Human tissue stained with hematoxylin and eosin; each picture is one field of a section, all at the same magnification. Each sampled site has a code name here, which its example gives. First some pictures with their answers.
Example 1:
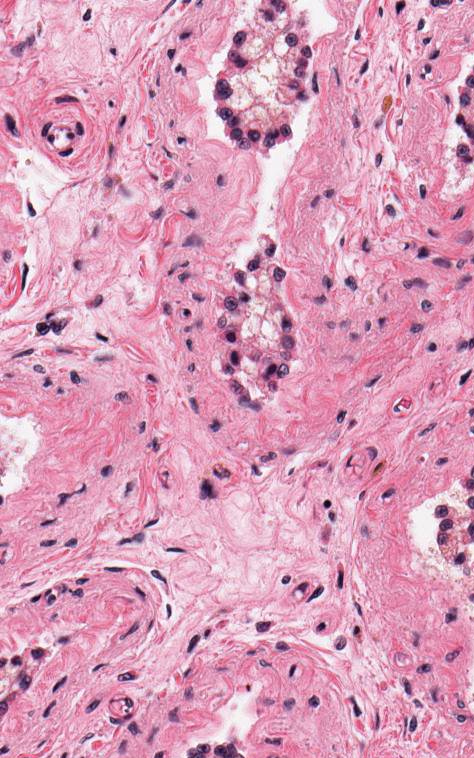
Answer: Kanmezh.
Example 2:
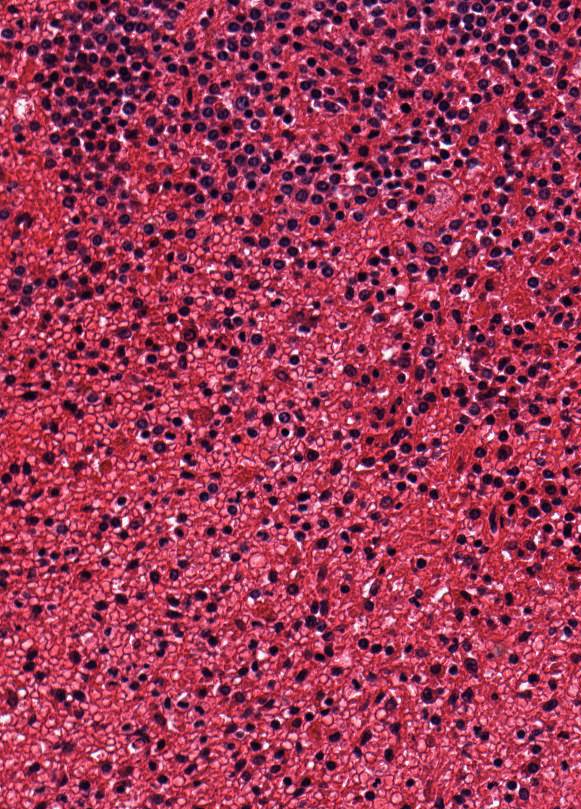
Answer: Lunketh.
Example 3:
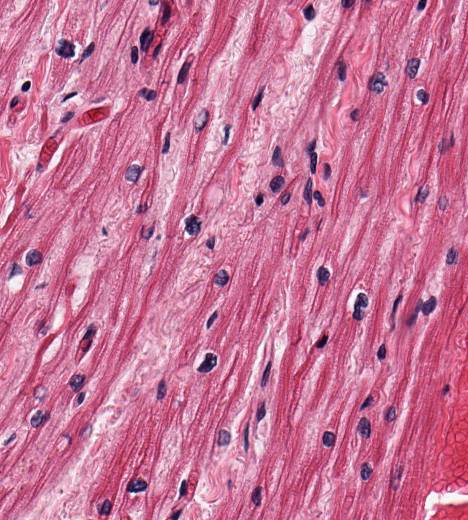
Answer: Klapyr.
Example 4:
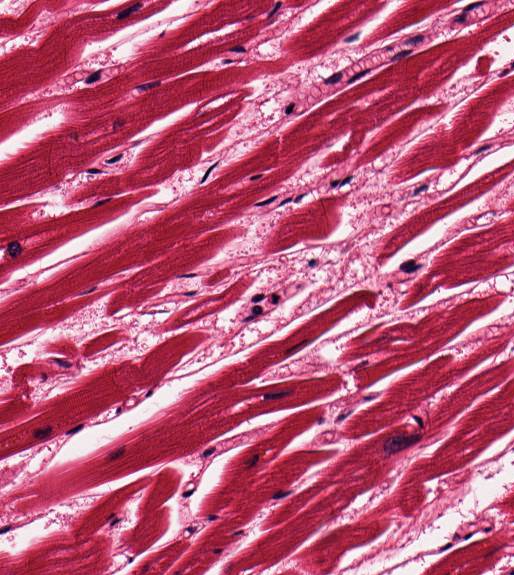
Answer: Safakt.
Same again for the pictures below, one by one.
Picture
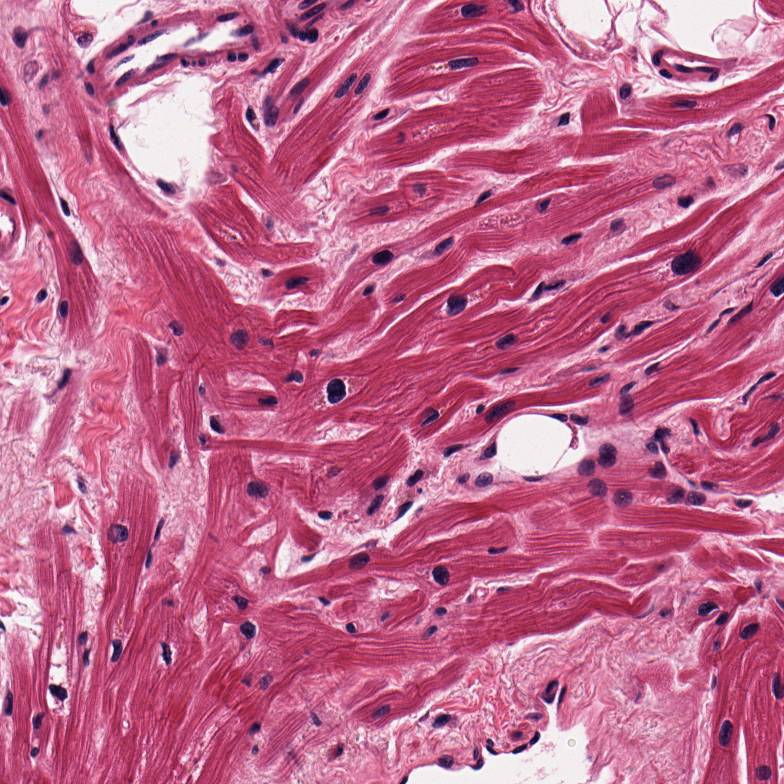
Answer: Klapyr.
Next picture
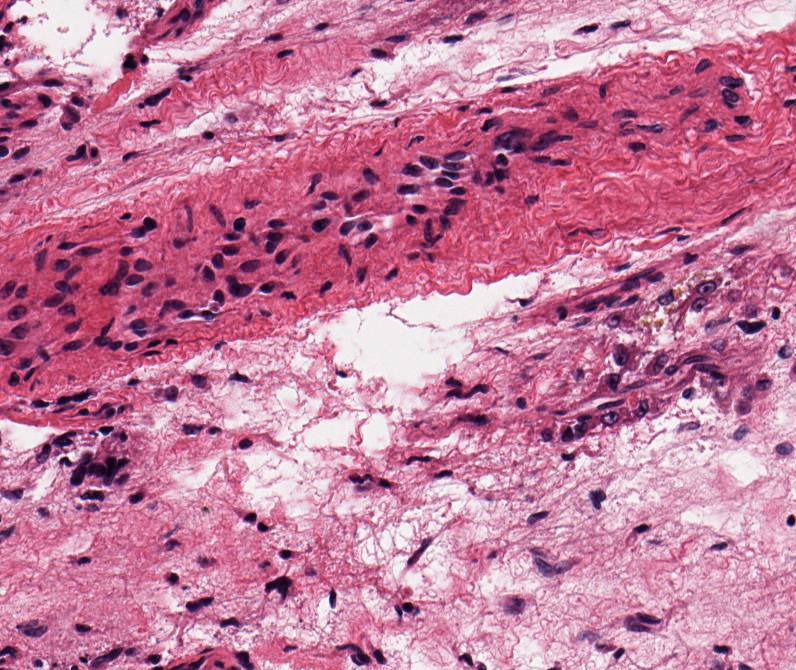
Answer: Kanmezh.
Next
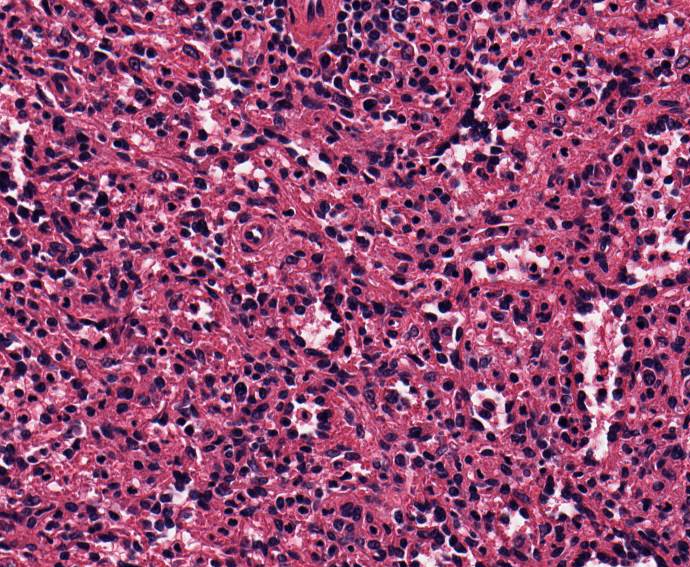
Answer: Lunketh.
